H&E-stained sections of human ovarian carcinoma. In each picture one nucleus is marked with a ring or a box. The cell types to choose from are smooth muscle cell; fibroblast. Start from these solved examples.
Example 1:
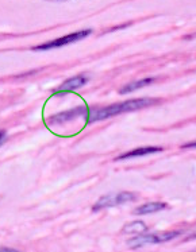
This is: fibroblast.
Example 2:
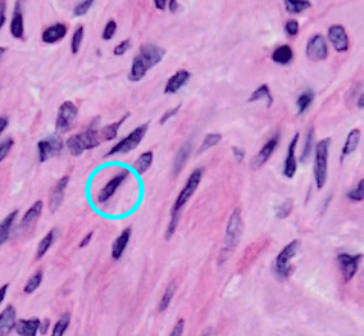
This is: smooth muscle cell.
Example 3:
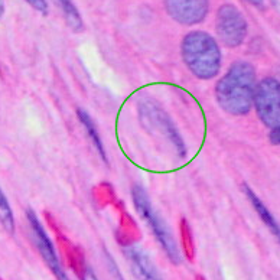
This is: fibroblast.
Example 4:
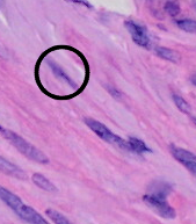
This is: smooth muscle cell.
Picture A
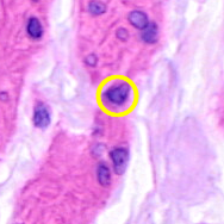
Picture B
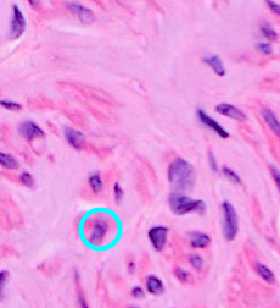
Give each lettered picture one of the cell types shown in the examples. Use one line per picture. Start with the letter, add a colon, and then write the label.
A: smooth muscle cell.
B: smooth muscle cell.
